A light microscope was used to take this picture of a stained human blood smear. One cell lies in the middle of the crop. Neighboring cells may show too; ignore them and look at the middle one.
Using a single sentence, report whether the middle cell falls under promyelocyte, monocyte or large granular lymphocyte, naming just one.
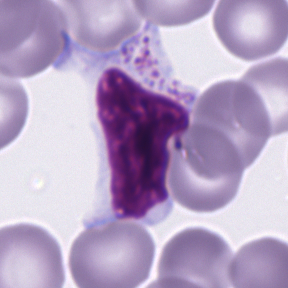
The central cell in this smear crop is a large granular lymphocyte.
